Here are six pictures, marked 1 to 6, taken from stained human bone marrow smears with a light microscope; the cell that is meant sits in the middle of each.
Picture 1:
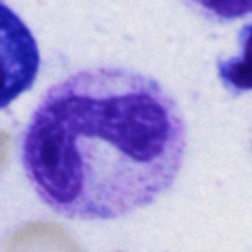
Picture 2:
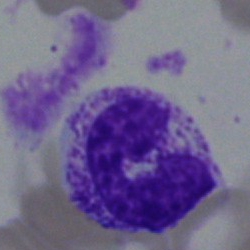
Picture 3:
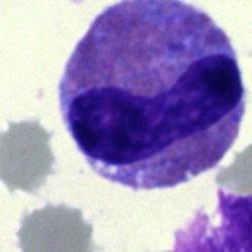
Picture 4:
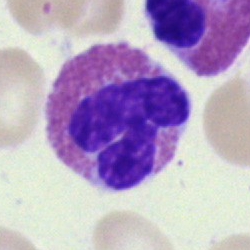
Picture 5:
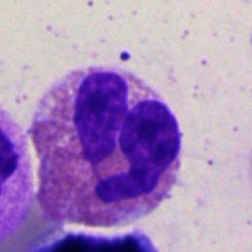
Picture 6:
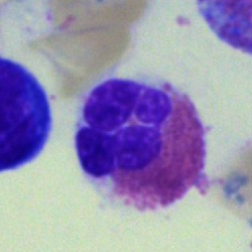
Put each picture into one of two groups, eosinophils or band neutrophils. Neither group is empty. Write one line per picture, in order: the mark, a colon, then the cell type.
1: band neutrophil
2: band neutrophil
3: eosinophil
4: eosinophil
5: eosinophil
6: eosinophil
